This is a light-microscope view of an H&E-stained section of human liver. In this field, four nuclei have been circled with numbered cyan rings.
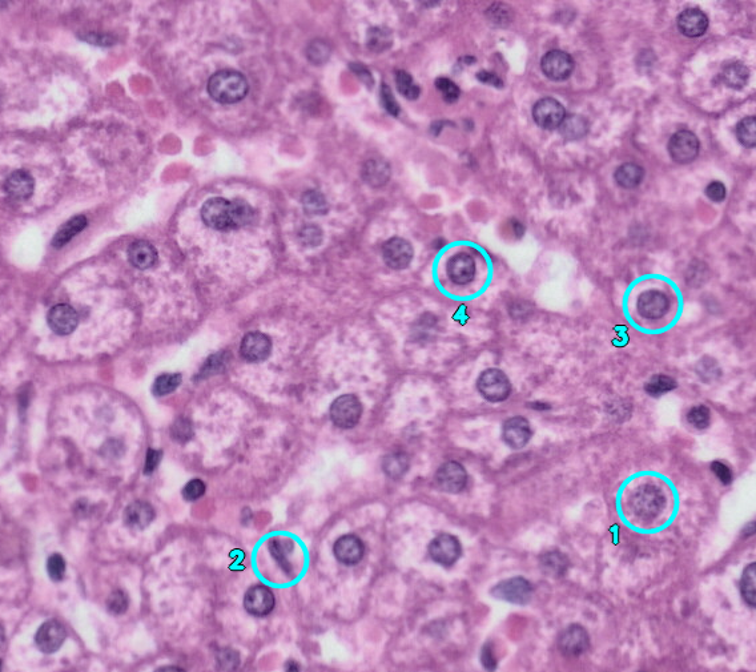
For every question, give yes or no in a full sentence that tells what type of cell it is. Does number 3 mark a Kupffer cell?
No, cell 3 is to be classed as a hepatocyte, not a Kupffer cell.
